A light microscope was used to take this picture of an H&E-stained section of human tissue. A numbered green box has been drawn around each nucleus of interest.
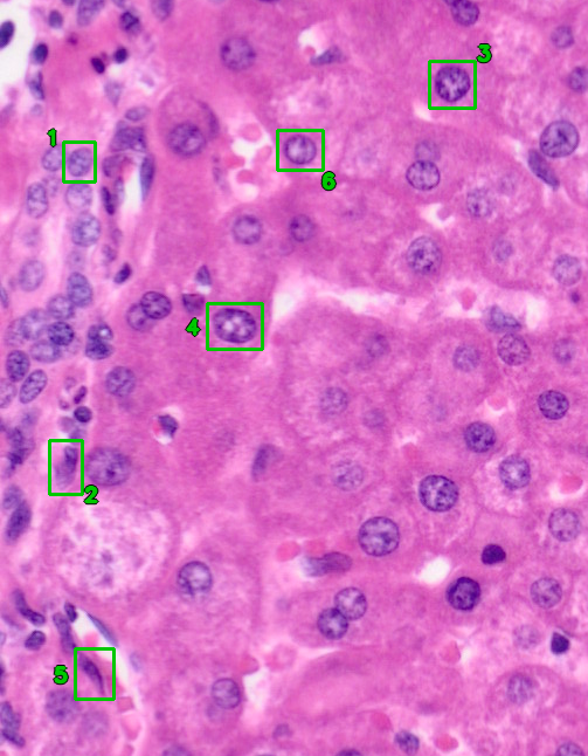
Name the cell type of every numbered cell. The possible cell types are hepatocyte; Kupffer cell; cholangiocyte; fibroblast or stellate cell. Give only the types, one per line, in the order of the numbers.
cholangiocyte
fibroblast or stellate cell
hepatocyte
hepatocyte
fibroblast or stellate cell
hepatocyte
